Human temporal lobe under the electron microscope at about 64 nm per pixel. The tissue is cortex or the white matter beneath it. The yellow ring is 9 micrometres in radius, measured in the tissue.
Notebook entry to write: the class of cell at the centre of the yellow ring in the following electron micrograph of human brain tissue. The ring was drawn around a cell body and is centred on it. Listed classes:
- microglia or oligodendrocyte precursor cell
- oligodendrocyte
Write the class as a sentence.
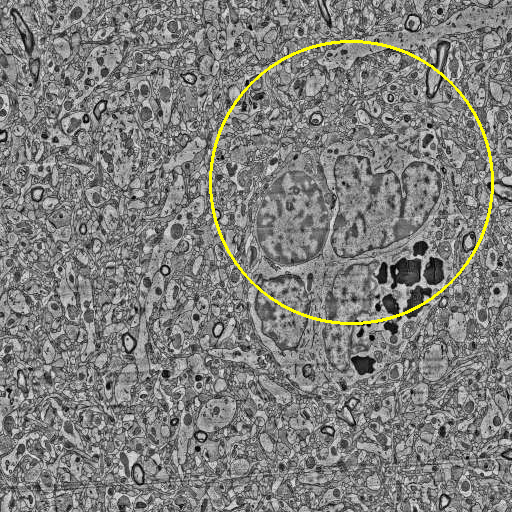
The yellow ring sits on a microglial cell or oligodendrocyte precursor cell.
